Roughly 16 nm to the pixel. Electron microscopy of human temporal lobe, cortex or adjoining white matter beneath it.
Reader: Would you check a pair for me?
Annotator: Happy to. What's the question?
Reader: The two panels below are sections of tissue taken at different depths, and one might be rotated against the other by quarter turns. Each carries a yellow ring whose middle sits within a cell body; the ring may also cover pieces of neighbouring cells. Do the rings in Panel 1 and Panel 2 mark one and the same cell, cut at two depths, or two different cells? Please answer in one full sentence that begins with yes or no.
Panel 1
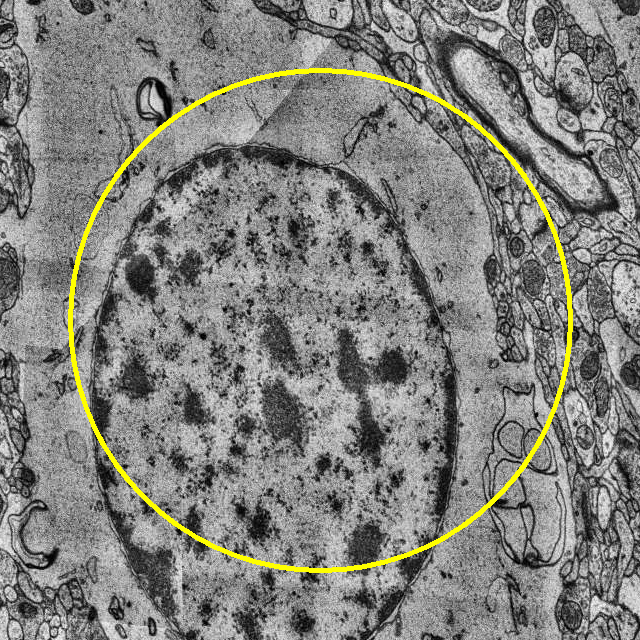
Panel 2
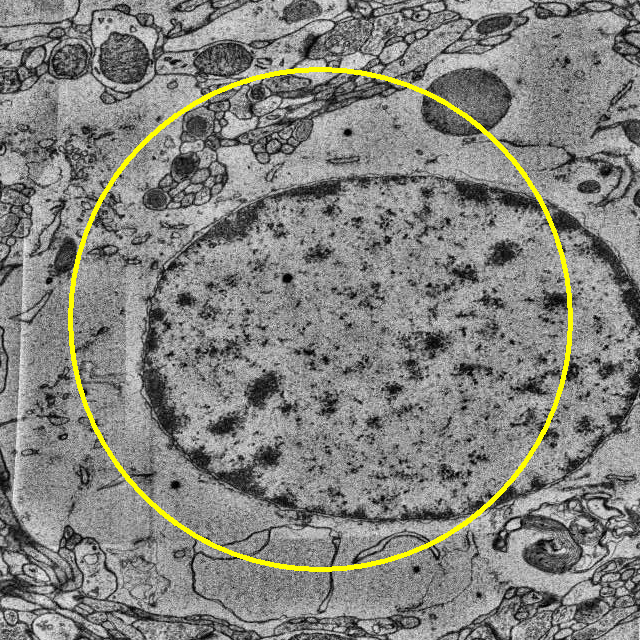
Yes, the same cell has been marked in both yellow rings.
